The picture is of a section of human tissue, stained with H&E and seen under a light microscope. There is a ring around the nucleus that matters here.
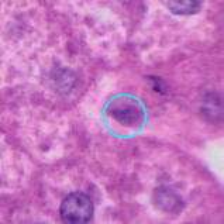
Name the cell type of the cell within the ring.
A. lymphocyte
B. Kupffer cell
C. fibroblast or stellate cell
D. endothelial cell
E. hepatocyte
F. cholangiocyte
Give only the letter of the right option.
B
